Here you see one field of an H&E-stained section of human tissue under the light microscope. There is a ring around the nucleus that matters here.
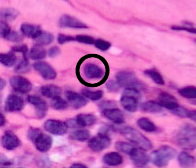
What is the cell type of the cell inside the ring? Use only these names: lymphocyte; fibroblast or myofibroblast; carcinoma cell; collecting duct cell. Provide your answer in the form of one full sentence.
It is as a lymphocyte that the cell inside the ring is classified.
